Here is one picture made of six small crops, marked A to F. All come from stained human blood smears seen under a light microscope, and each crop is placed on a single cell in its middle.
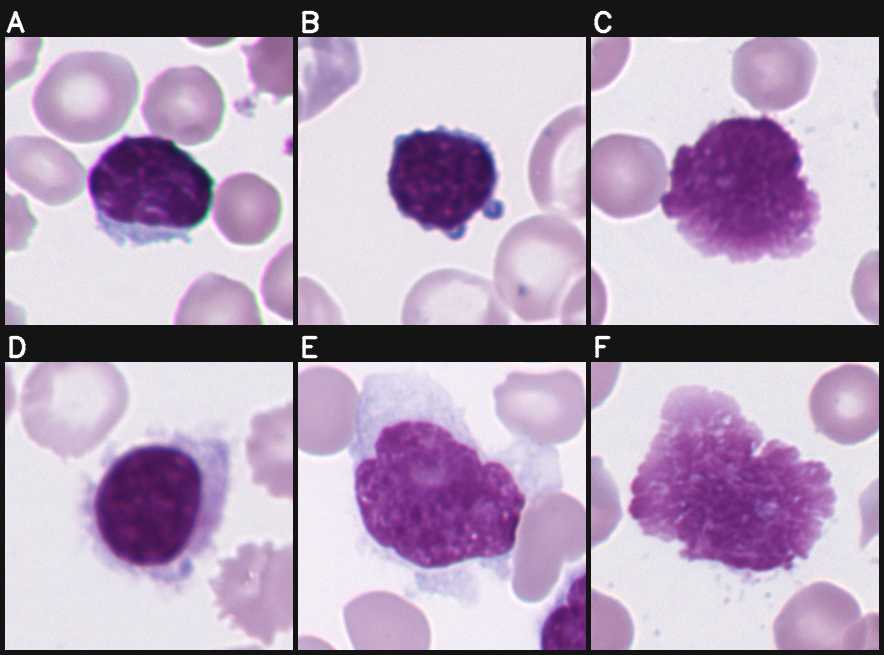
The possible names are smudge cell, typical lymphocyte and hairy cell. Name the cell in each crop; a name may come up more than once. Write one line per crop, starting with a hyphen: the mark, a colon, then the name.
- A: typical lymphocyte
- B: typical lymphocyte
- C: smudge cell
- D: hairy cell
- E: hairy cell
- F: smudge cell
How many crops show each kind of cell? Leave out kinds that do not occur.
typical lymphocyte: 2
smudge cell: 2
hairy cell: 2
